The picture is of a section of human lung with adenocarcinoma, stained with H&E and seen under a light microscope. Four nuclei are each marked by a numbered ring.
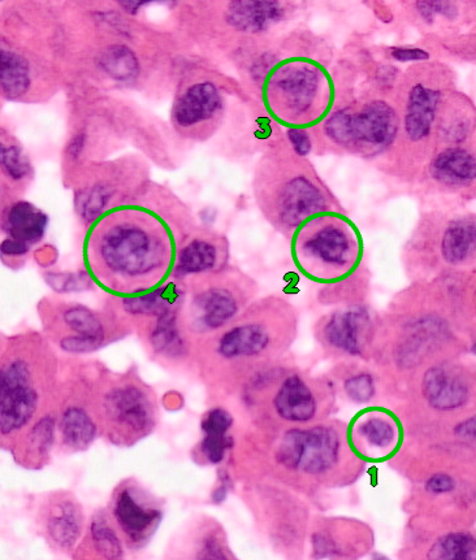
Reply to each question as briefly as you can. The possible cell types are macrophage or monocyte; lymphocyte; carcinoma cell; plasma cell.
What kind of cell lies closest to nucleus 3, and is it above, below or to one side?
a carcinoma cell, above and to the left of nucleus 3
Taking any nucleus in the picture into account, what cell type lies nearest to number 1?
macrophage or monocyte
